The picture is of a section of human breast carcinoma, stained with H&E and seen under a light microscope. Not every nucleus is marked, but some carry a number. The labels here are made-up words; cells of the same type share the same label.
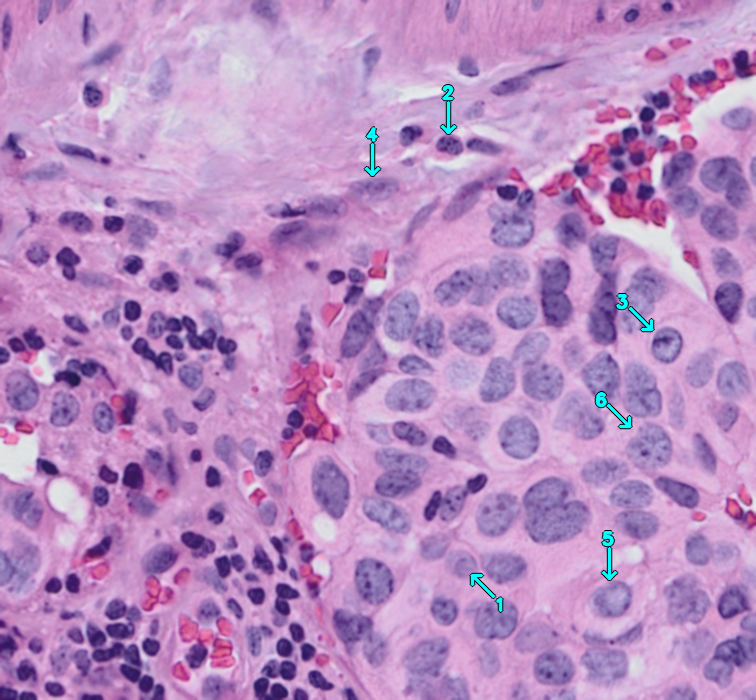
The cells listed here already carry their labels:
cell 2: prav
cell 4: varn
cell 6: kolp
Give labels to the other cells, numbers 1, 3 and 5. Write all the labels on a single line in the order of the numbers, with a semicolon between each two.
kolp; kolp; kolp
